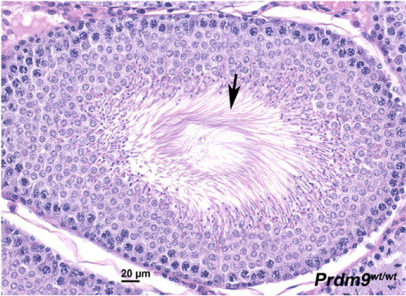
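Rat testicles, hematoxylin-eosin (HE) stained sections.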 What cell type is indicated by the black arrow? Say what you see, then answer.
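Mature spermatids. Fine pink thread-like tails stream into the lumen from the innermost layer. The epithelium around the lumen is many cells thick.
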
